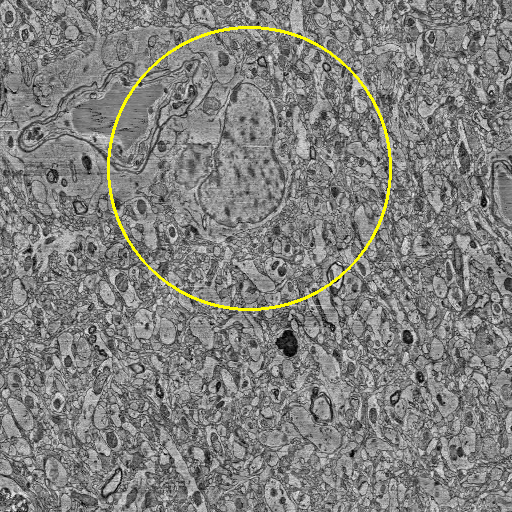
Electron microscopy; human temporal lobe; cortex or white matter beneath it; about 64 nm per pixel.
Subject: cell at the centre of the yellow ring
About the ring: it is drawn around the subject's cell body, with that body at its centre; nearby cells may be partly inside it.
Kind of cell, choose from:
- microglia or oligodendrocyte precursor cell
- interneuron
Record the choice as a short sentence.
The subject cell is a microglial cell or oligodendrocyte precursor cell.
